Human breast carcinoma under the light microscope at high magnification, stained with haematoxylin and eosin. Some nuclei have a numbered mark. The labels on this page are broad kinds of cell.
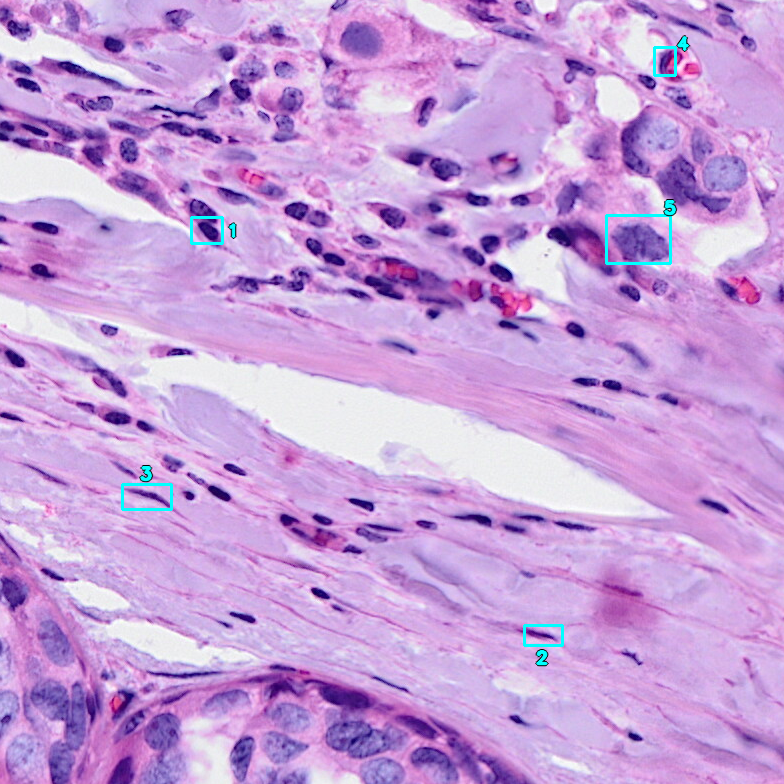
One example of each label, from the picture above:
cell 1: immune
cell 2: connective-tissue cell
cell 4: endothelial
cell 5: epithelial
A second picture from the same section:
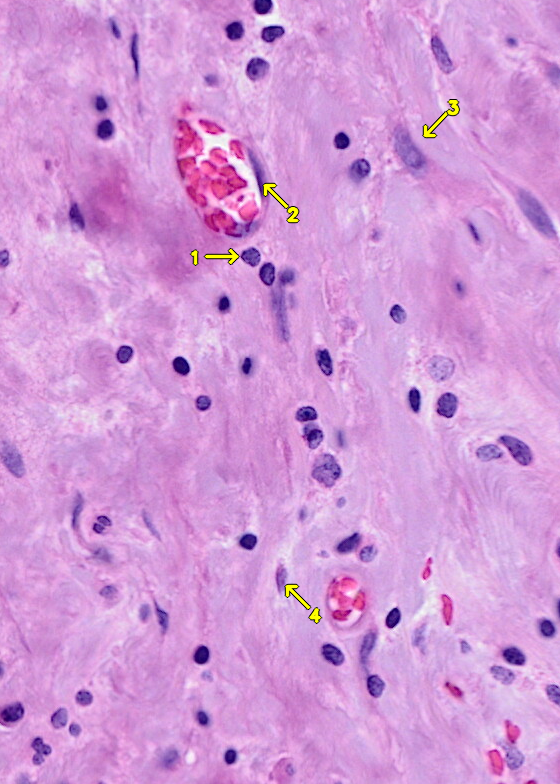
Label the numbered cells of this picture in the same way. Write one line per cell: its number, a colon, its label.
1: immune
2: endothelial
3: connective-tissue cell
4: connective-tissue cell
